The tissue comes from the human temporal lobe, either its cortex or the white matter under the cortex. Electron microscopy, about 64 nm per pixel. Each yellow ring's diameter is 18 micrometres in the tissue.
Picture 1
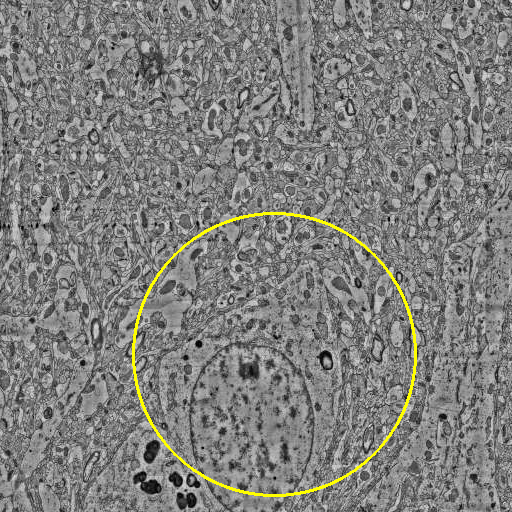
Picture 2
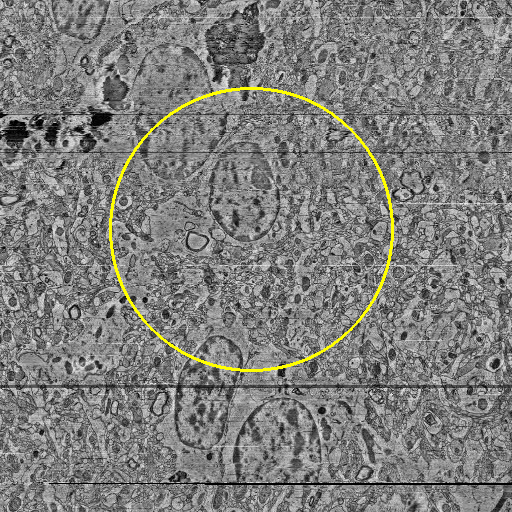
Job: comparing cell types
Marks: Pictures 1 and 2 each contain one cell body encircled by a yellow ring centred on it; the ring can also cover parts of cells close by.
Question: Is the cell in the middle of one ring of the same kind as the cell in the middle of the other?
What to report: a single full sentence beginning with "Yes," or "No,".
No, the cell at the ring centre in Picture 1 and its partner in Picture 2 are of two kinds.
